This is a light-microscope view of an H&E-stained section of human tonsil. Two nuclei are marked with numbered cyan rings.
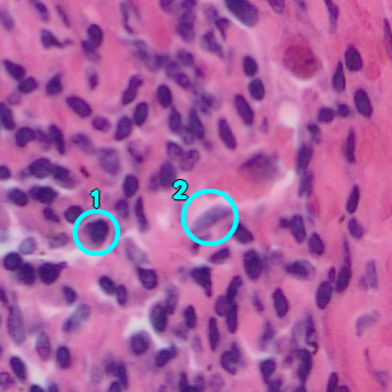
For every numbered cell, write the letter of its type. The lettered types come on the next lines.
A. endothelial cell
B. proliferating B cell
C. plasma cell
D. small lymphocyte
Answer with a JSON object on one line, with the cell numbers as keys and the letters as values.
{"1": "C", "2": "A"}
